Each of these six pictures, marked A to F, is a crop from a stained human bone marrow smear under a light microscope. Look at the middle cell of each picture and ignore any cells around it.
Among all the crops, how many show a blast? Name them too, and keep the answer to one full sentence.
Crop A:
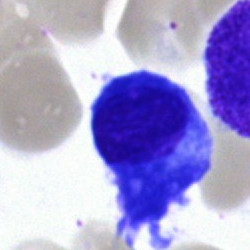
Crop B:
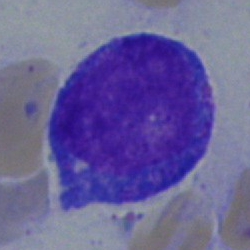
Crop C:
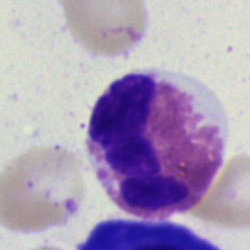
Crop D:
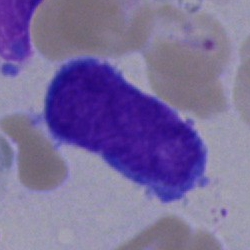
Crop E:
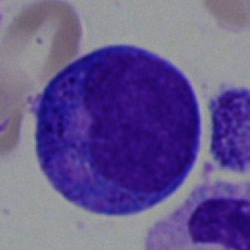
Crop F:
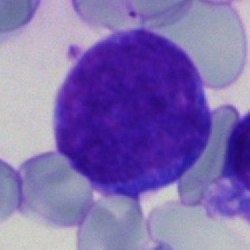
Within the set, crops B, D and F are the three showing blasts.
